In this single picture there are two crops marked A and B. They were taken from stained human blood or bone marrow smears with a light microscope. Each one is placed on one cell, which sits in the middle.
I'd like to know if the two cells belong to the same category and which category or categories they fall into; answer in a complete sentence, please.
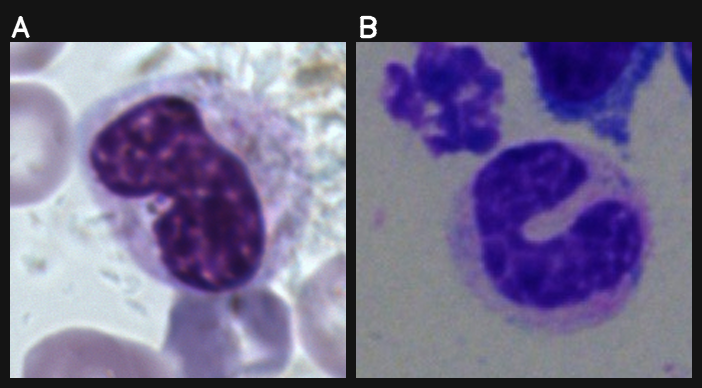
Yes, band neutrophils are the cells in the middle of both crops.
